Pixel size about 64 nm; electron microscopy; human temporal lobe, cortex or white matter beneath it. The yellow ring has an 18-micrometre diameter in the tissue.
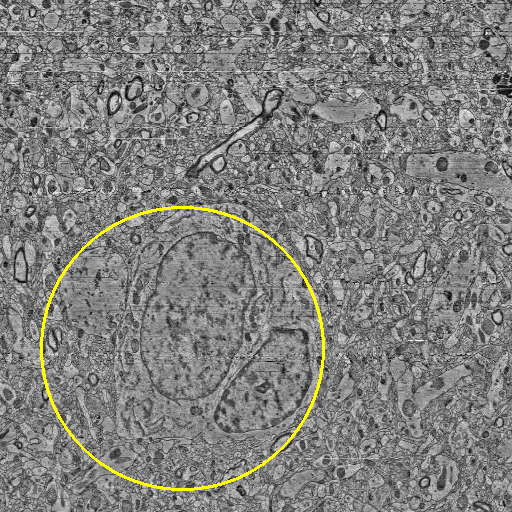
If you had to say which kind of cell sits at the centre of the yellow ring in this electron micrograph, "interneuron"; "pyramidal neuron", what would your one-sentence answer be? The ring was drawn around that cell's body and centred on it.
The cell sitting at the centre of the ring is an interneuron.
